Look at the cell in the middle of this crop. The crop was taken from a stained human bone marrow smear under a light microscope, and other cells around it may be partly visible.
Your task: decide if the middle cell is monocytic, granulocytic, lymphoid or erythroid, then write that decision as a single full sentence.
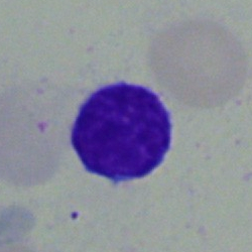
The middle cell of the crop arises from the lymphoid lineage.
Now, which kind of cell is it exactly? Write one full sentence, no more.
For this crop, the cell in the middle is a lymphocyte.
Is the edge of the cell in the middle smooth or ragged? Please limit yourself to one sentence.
Because its outline is ragged or drawn out into projections, the cell lacks a smooth border.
